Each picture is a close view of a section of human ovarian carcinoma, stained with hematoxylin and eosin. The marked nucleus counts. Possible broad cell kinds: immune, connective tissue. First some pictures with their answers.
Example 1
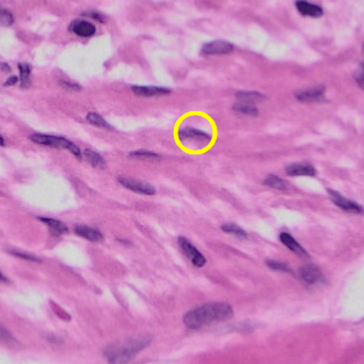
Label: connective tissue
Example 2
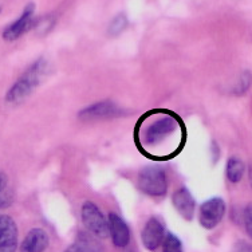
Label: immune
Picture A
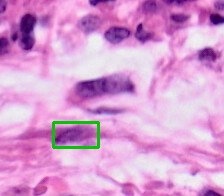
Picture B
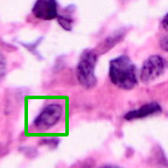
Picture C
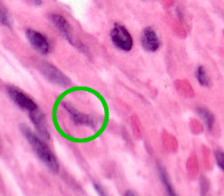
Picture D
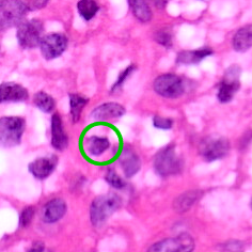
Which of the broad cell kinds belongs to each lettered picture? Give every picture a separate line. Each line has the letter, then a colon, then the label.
A: connective tissue
B: immune
C: connective tissue
D: immune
